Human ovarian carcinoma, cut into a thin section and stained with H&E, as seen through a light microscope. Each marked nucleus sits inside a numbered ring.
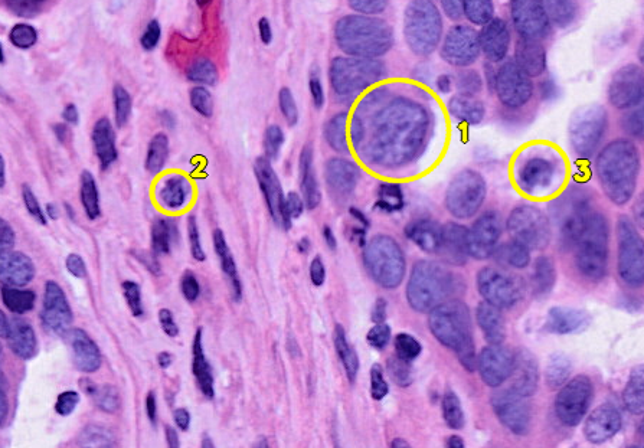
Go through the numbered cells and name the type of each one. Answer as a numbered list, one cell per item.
1. carcinoma cell
2. lymphocyte
3. macrophage or monocyte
